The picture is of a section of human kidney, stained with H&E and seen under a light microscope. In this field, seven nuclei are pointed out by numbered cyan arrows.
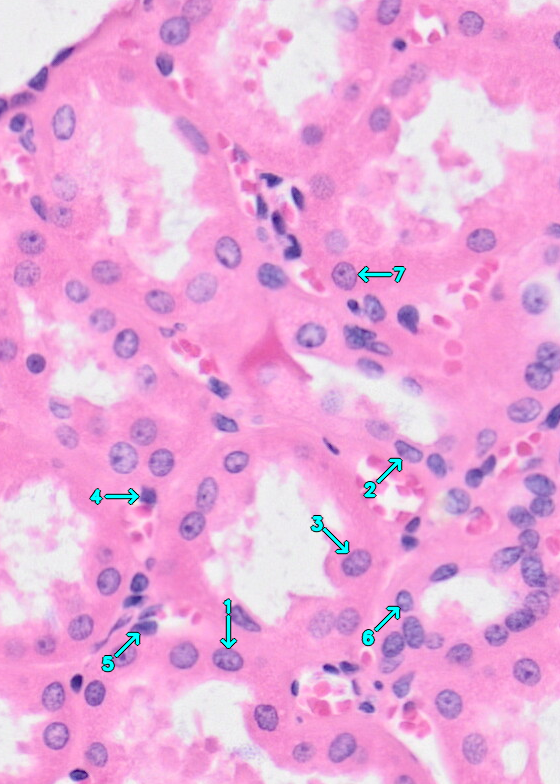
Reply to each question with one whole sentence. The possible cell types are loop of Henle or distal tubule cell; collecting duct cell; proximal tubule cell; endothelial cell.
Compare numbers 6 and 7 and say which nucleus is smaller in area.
It is nucleus 6; nucleus 7 has about 2 times its area.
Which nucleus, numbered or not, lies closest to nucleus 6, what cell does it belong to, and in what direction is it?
It is a collecting duct cell, whose nucleus lies below nucleus 6.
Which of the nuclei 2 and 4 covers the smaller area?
Nucleus 4 is the smaller one; nucleus 2 covers about 1.5 times its area.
